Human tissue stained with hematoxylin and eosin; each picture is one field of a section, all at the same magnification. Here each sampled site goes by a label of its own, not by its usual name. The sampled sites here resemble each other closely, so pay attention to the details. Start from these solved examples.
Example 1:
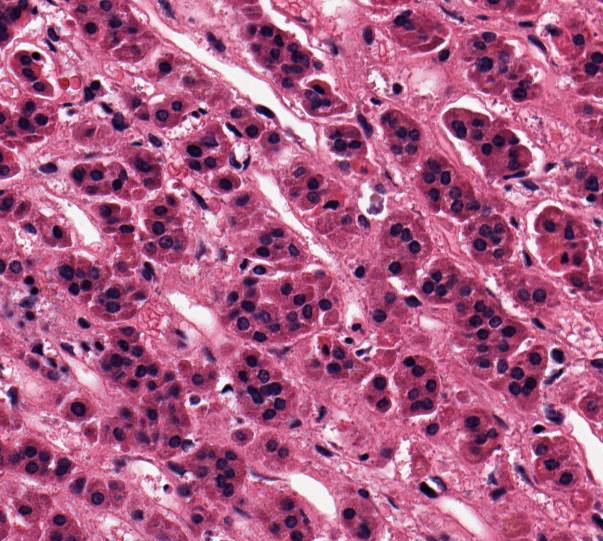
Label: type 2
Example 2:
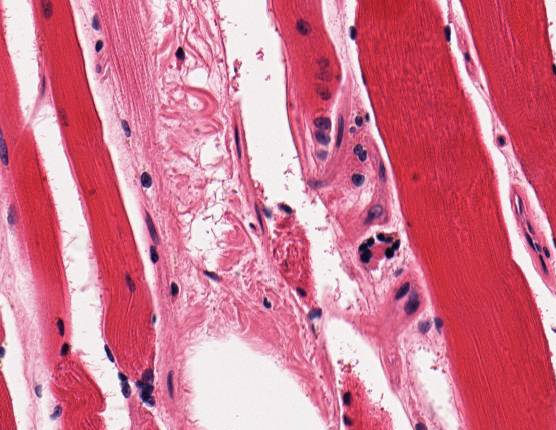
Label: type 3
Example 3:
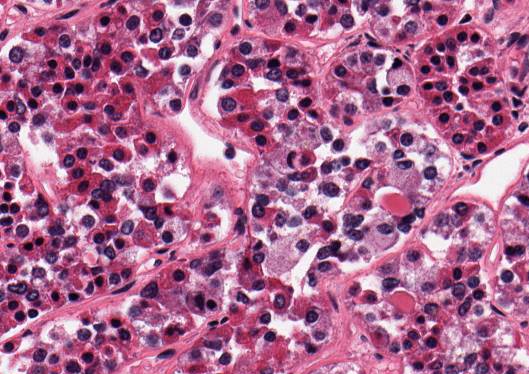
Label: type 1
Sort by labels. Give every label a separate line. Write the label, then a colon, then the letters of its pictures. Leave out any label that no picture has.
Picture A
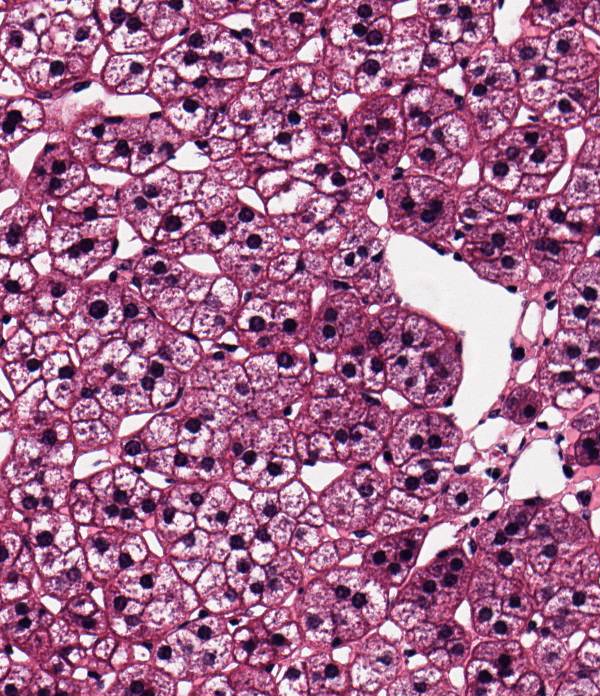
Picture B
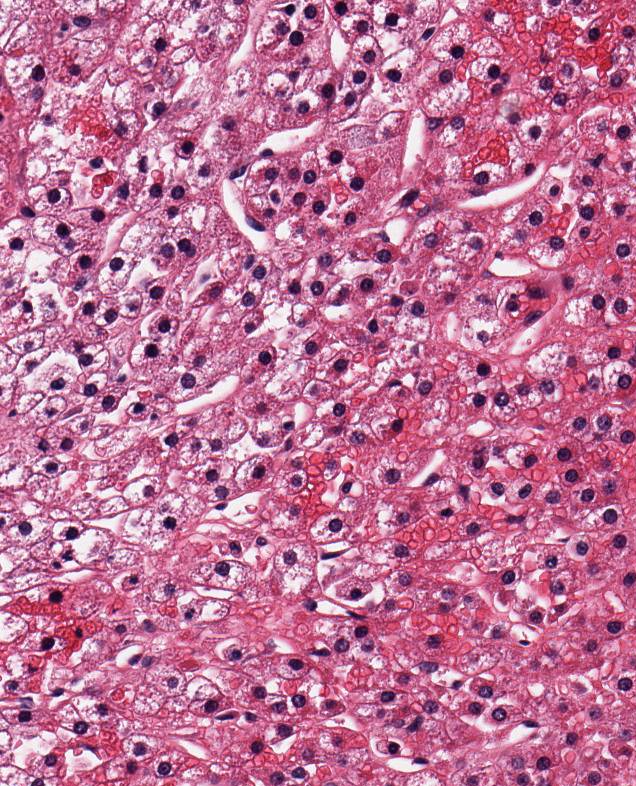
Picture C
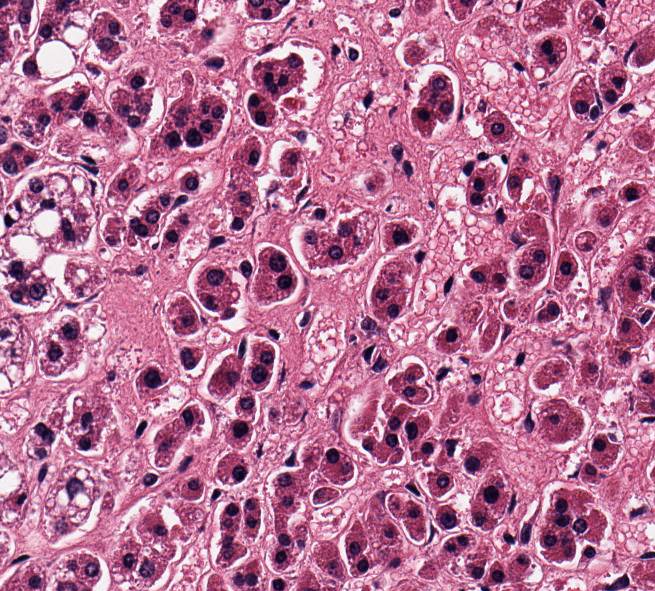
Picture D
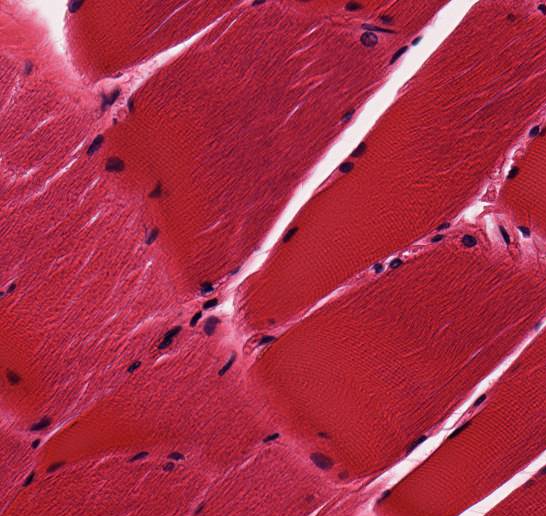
type 2: A, B, C
type 3: D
